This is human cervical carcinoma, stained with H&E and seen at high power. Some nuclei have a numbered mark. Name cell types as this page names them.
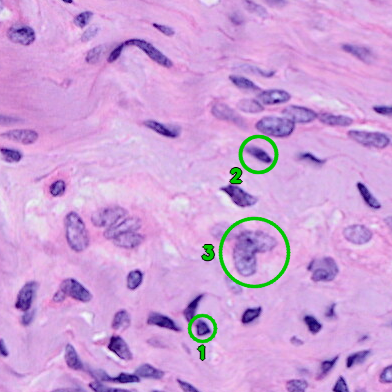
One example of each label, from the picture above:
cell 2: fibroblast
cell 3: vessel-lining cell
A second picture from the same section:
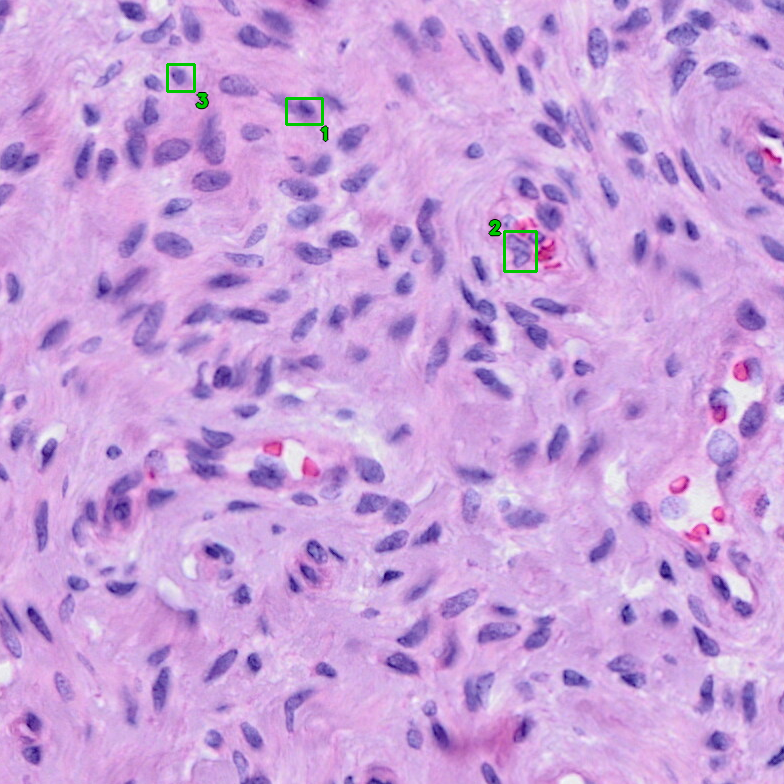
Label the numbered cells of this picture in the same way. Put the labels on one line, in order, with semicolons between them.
fibroblast; vessel-lining cell; fibroblast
